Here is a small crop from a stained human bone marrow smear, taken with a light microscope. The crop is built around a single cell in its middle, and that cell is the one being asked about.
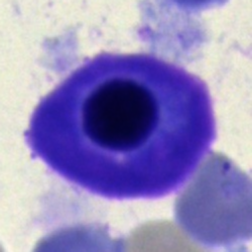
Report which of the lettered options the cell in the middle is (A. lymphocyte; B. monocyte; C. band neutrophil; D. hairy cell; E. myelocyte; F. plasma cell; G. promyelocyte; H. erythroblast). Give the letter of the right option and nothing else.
F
